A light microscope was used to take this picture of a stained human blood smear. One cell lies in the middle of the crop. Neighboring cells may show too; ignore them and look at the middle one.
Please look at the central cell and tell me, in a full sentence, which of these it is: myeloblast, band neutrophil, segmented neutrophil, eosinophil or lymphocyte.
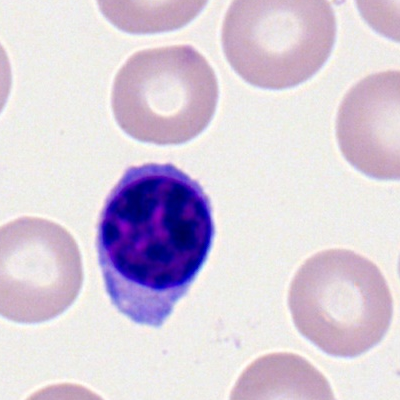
The target cell in the middle of the crop is a lymphocyte.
